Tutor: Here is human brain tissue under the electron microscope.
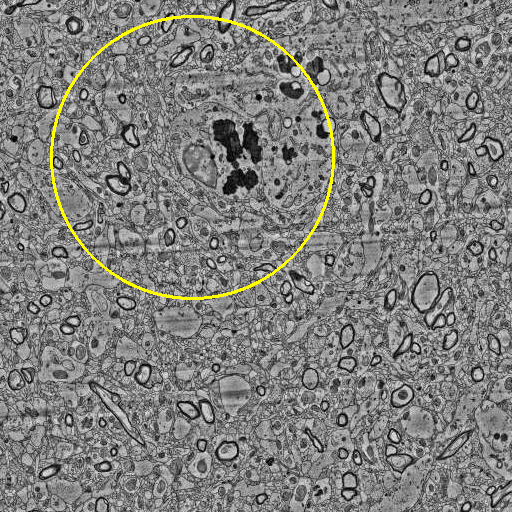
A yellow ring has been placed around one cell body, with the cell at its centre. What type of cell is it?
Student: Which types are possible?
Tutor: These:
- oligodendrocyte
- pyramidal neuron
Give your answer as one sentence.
What the ring picks out here is an oligodendrocyte.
